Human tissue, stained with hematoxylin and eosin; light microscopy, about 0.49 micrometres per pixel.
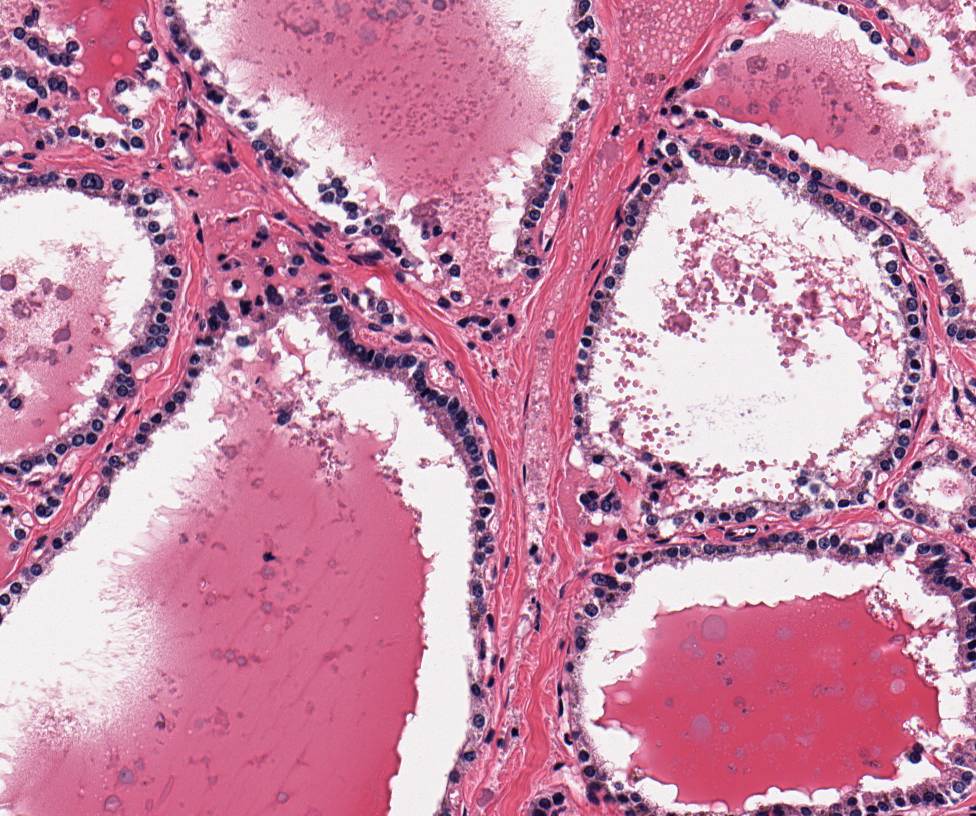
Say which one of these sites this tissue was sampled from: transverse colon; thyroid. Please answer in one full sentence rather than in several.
The source of this tissue sample is the thyroid.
